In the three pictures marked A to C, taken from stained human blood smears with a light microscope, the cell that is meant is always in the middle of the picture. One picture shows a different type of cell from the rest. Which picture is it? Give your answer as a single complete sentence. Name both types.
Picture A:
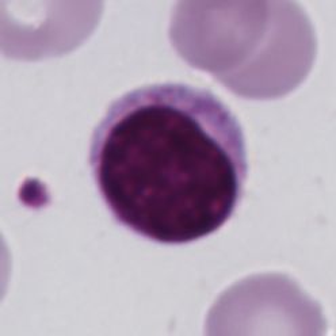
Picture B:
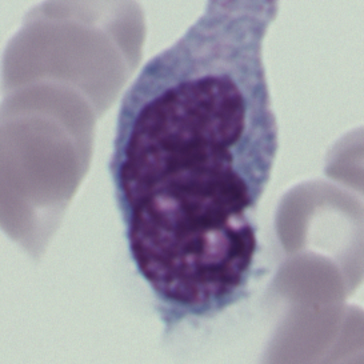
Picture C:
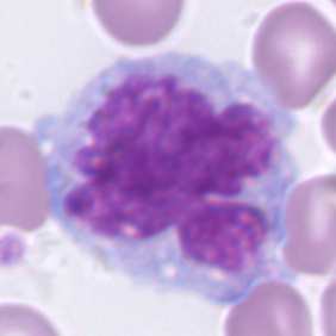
Unlike the rest, which show monocytes, picture A shows a large granular lymphocyte.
